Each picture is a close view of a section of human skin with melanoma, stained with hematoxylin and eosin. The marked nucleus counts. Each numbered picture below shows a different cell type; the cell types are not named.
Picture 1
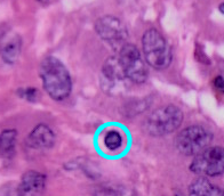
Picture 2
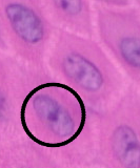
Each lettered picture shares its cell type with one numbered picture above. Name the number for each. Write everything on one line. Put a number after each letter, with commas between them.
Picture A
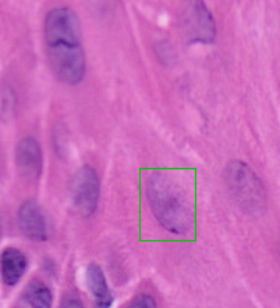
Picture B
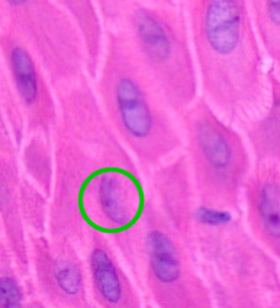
A 2, B 2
